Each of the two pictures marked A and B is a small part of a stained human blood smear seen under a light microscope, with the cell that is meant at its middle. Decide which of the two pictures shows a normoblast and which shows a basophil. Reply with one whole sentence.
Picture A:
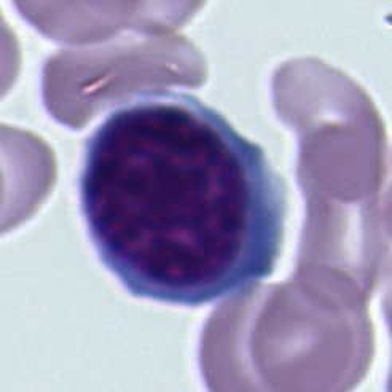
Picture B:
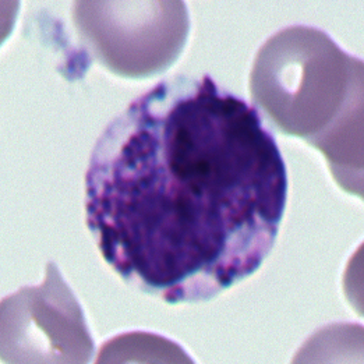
In picture A the cell is a normoblast; in picture B, a basophil.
